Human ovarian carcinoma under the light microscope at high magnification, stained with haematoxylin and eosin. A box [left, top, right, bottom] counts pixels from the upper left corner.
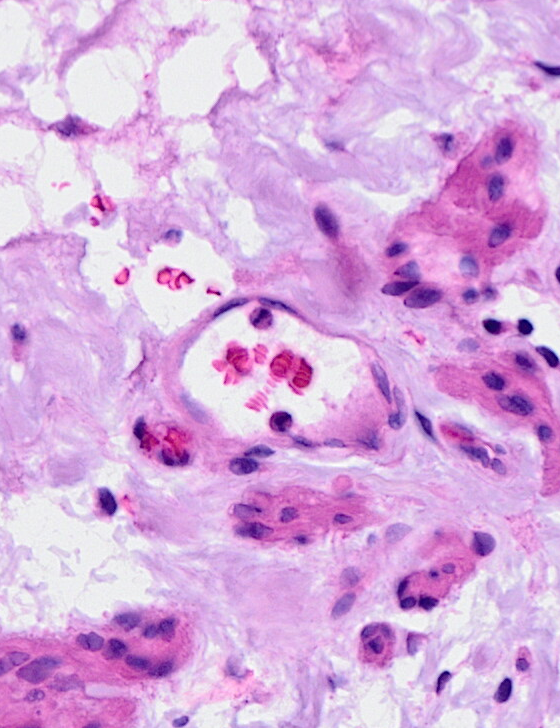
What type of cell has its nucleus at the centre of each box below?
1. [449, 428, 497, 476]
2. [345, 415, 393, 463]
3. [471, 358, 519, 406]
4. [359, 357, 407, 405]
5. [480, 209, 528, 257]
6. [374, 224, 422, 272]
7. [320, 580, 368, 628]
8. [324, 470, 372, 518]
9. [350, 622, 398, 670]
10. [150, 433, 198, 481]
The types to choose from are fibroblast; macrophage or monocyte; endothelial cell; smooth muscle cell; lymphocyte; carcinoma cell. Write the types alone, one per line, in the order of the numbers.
endothelial cell
endothelial cell
smooth muscle cell
endothelial cell
smooth muscle cell
smooth muscle cell
smooth muscle cell
smooth muscle cell
smooth muscle cell
endothelial cell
